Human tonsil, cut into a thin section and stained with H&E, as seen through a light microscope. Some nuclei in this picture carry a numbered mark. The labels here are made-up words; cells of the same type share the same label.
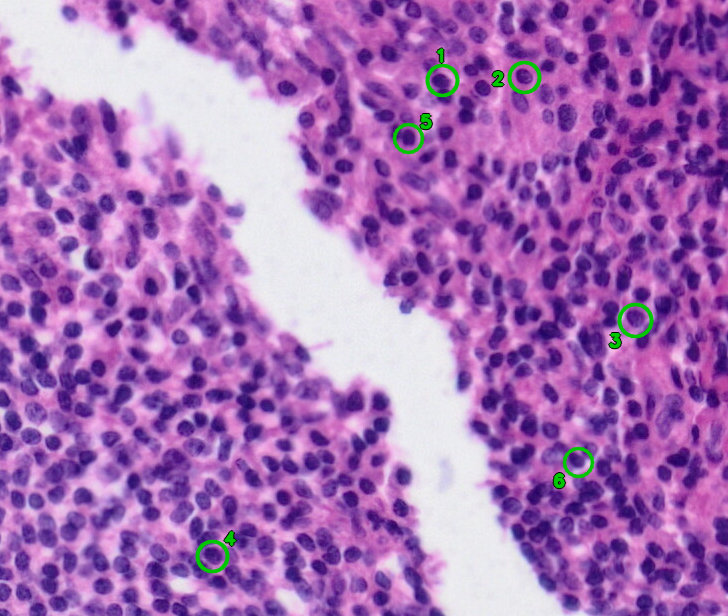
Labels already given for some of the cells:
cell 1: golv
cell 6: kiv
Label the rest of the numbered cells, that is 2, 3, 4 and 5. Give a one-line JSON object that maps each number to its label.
{"2": "golv", "3": "golv", "4": "kiv", "5": "golv"}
